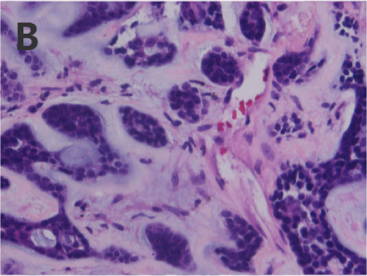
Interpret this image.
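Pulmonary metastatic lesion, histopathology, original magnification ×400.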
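Here the tumor cells form small tubules and gland-like nests set in pale pink, fibrous stroma. The cells have small dark nuclei and little cytoplasm, and some nests enclose small lumina with pale material. A small blood vessel with red blood cells runs through the stroma between the nests.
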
